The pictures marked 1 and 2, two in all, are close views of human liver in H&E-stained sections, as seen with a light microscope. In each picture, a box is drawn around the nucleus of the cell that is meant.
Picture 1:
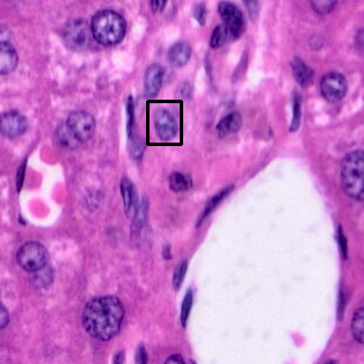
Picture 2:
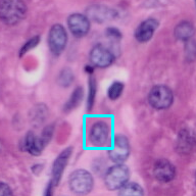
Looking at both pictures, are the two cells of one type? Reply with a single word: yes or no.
yes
